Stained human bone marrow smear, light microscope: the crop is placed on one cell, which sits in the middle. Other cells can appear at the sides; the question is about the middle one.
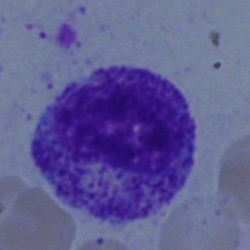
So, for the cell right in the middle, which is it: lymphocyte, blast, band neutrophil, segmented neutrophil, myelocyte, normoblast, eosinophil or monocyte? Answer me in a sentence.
At the middle of the frame sits a myelocyte.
